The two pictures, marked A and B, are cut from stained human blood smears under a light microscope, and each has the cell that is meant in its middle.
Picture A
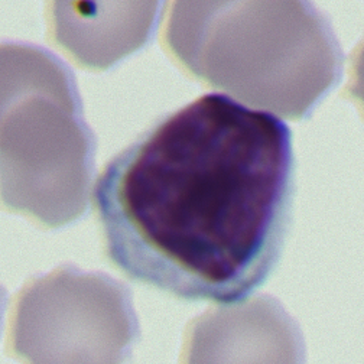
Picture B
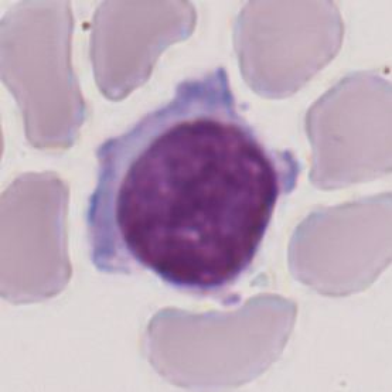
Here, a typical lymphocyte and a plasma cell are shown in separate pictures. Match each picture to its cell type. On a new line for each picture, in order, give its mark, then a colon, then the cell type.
A: typical lymphocyte
B: plasma cell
